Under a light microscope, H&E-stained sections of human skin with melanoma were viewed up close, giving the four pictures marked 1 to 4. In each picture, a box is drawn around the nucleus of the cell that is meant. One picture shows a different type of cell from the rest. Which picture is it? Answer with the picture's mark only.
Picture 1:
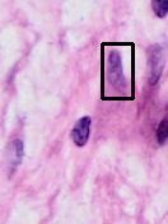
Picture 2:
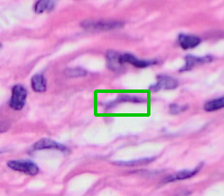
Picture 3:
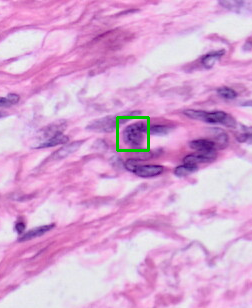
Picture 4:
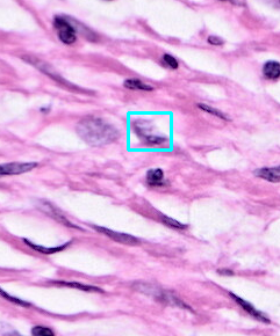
3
